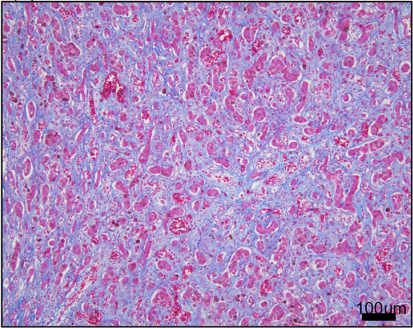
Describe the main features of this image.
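Liver tissue with extensive fibrosis. Blue-stained fibrous tissue forms a dense network throughout the field. Within it lie small red-stained islands and cords of parenchymal cells of irregular shape and size. Red-stained blood-filled spaces are scattered among them. Normal lobular structure is not recognizable.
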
